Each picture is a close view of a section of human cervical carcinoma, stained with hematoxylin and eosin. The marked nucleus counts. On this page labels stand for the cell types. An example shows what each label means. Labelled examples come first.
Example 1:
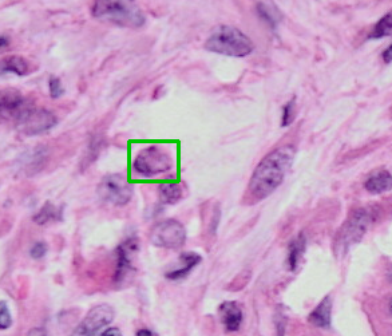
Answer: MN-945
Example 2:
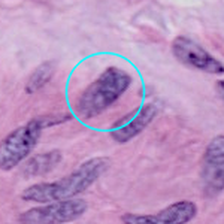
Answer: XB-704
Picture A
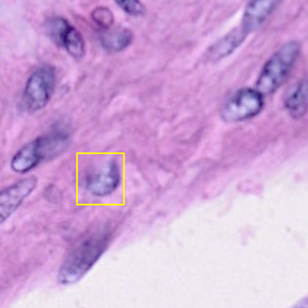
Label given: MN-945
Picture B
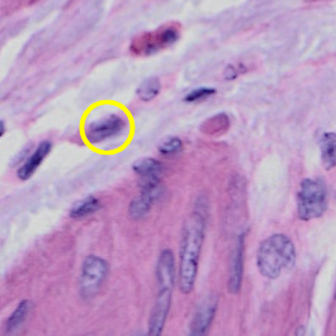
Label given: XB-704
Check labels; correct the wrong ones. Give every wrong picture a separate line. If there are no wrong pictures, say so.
A: change MN-945 to XB-704
B: change XB-704 to MN-945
